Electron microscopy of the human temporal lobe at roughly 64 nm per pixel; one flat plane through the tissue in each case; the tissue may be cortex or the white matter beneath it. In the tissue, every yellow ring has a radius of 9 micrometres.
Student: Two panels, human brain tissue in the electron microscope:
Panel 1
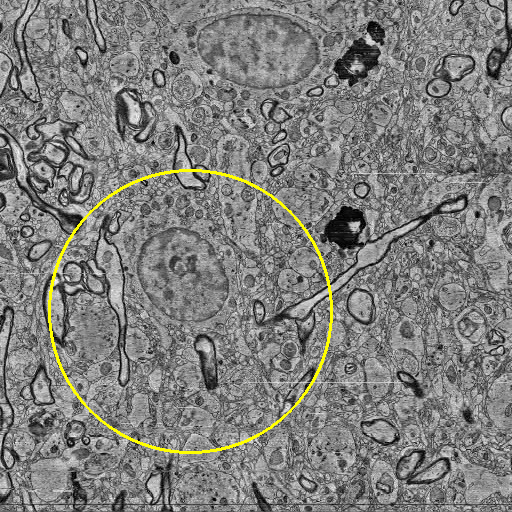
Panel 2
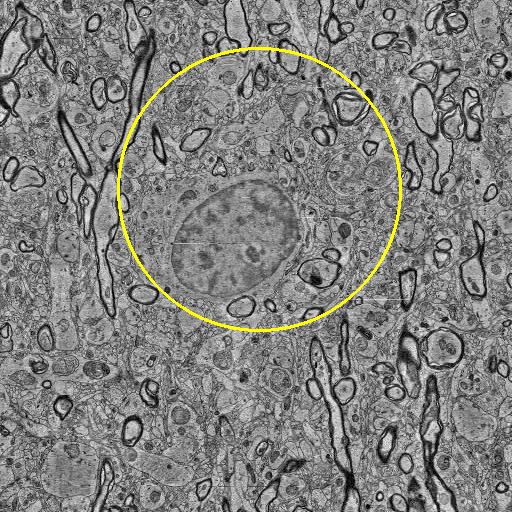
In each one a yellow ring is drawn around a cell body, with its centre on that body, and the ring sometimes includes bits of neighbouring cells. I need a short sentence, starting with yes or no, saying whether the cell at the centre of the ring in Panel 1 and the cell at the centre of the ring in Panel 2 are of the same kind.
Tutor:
Yes, they are the same kind of cell.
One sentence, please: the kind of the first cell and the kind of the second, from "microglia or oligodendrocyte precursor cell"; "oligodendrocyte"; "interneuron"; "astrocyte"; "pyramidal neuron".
In each picture the ringed cell is an oligodendrocyte.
